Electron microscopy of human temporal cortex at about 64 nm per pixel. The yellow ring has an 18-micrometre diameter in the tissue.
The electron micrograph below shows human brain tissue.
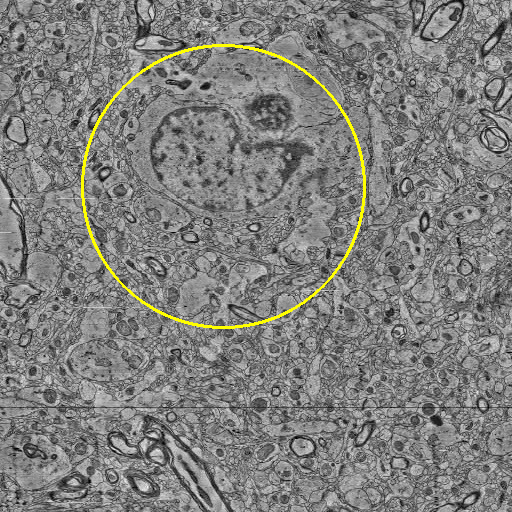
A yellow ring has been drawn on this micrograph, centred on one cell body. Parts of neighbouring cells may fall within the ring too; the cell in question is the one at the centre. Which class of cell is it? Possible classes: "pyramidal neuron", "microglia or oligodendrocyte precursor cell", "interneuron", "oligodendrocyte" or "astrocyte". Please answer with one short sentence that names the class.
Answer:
In the centre of the ring sits a microglial cell or oligodendrocyte precursor cell.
